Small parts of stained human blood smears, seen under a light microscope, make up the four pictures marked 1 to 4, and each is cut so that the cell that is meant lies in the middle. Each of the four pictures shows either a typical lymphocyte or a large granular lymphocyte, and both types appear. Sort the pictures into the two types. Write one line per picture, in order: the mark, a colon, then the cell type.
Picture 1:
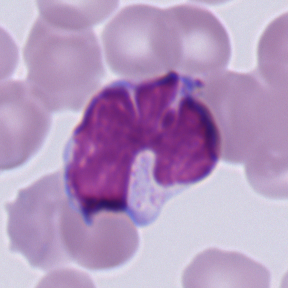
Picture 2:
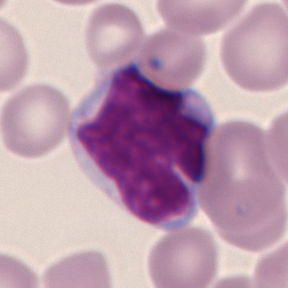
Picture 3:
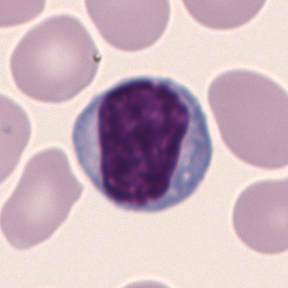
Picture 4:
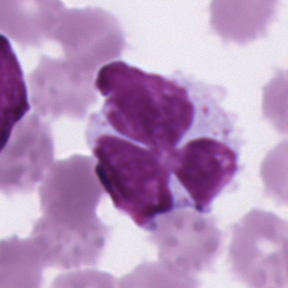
1: large granular lymphocyte
2: large granular lymphocyte
3: typical lymphocyte
4: large granular lymphocyte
